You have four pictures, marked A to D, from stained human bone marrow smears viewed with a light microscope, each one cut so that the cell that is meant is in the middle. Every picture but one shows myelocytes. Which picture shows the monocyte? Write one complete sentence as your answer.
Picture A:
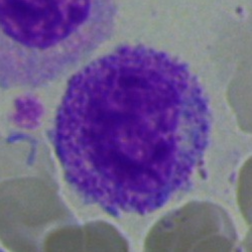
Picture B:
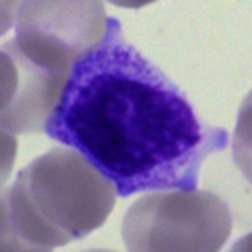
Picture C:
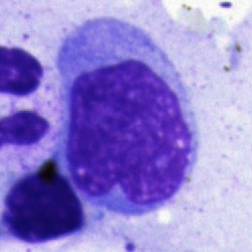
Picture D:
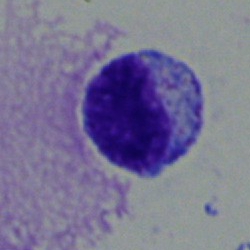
Picture C shows the monocyte.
